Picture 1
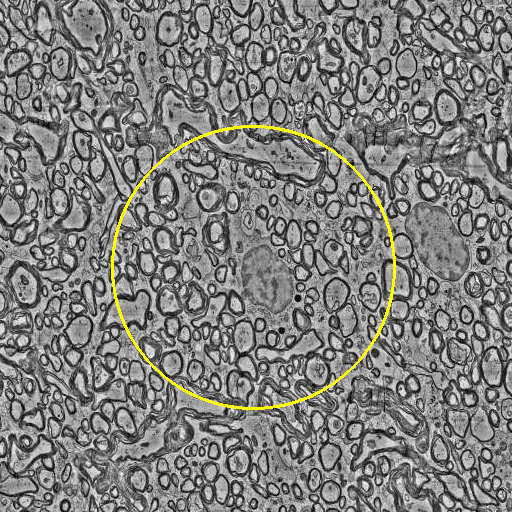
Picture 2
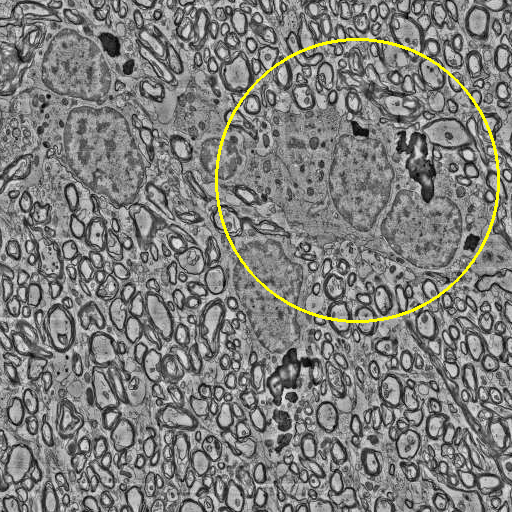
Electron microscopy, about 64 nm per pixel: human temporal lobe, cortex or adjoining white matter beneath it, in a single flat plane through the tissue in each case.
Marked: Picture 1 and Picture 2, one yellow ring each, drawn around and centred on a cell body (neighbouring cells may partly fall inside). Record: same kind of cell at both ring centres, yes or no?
yes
